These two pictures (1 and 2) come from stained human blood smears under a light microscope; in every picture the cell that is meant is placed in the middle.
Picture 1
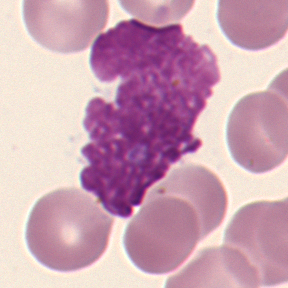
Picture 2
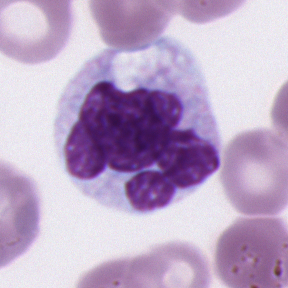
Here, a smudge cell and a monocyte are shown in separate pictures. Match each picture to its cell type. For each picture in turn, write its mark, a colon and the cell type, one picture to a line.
1: smudge cell
2: monocyte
